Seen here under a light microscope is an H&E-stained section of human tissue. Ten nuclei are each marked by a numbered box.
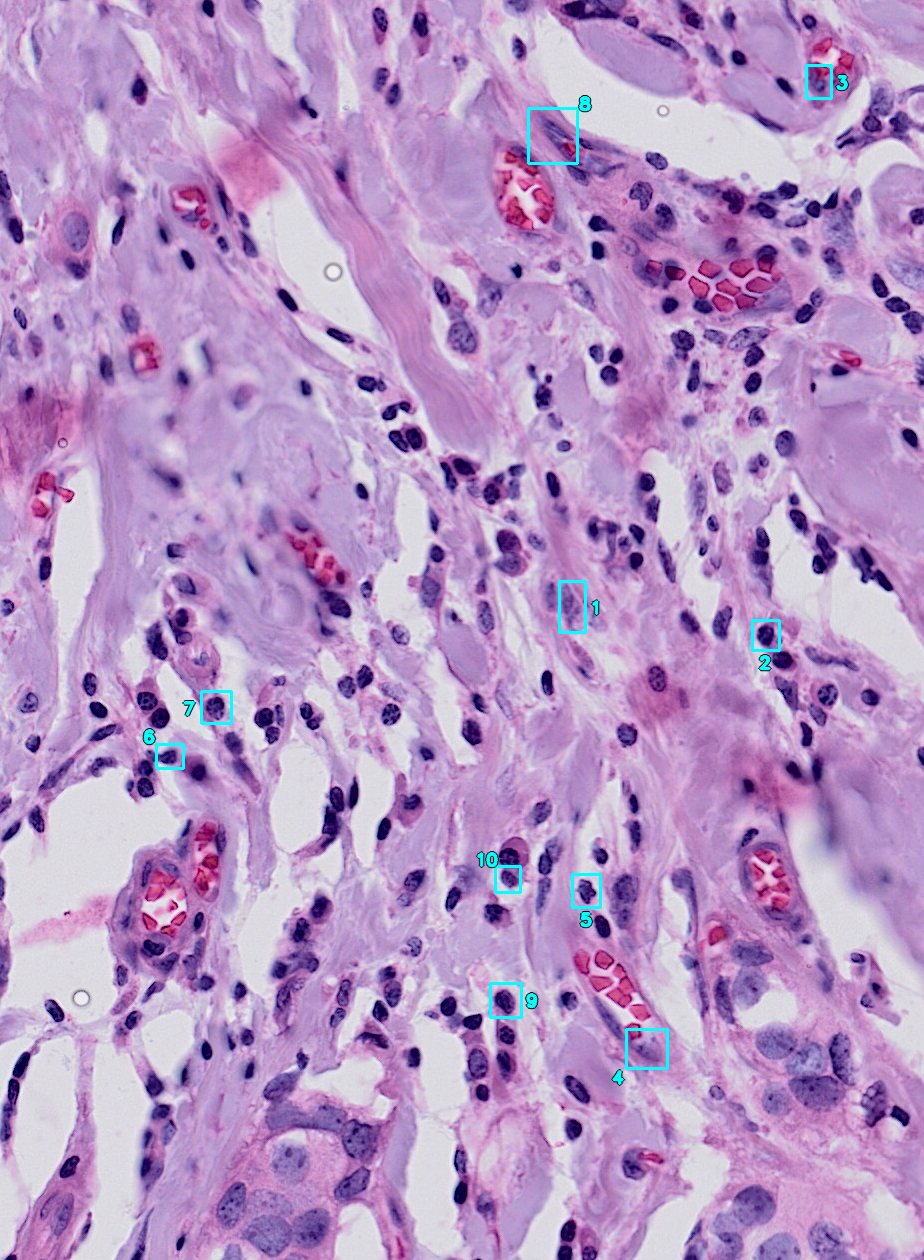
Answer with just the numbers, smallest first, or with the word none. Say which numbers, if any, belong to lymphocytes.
2, 5, 6, 7, 9, 10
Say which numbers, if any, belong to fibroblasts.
1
